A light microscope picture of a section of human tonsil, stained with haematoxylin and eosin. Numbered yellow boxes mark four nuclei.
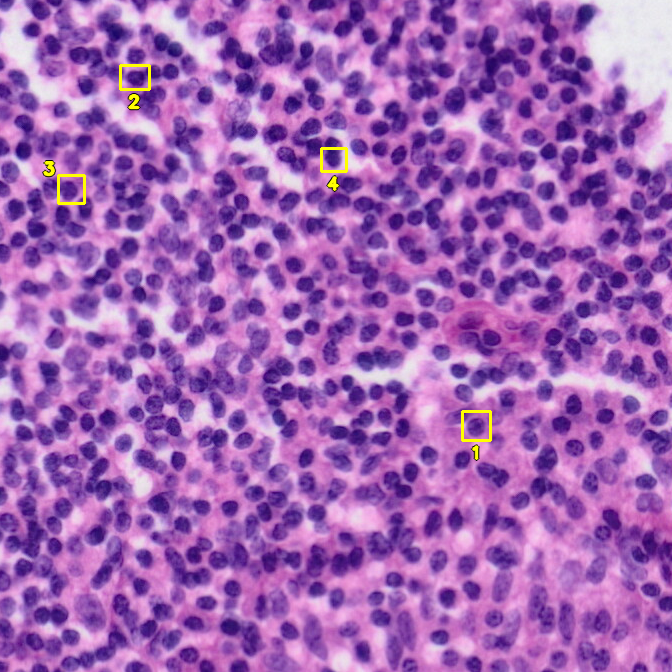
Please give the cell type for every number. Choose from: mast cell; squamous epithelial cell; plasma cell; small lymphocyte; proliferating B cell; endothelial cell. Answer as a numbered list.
1. plasma cell
2. small lymphocyte
3. small lymphocyte
4. small lymphocyte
